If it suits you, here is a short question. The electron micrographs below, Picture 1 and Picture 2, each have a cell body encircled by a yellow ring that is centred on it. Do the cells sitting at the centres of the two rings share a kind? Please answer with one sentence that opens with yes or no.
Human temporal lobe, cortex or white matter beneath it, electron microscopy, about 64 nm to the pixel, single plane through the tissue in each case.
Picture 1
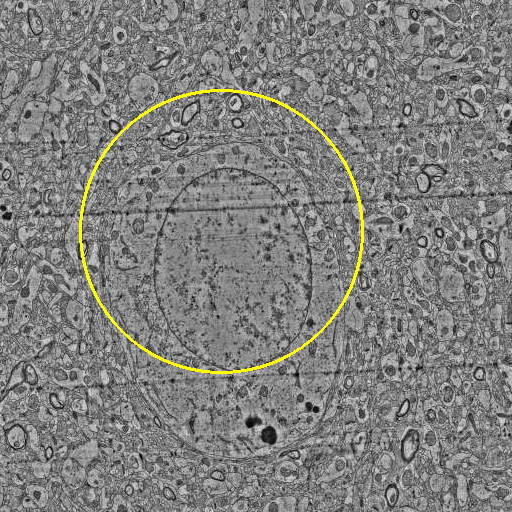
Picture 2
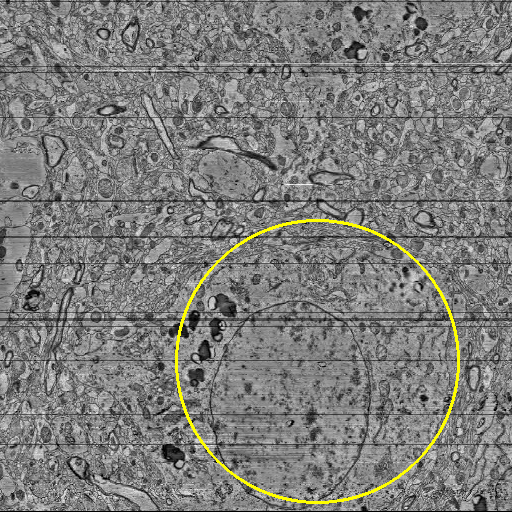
Yes, the two cells sitting at the ring centres share a single kind.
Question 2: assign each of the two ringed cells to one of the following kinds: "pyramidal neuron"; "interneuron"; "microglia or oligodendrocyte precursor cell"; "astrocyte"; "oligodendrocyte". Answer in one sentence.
Each cell at the centre of a ring is a pyramidal neuron.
